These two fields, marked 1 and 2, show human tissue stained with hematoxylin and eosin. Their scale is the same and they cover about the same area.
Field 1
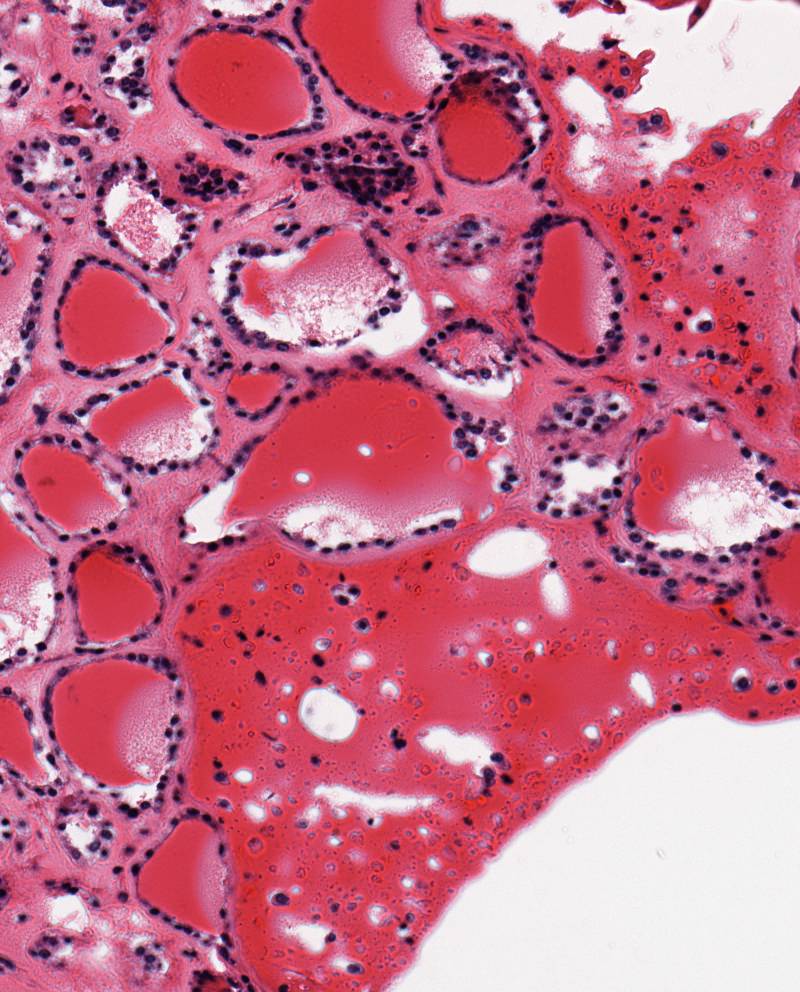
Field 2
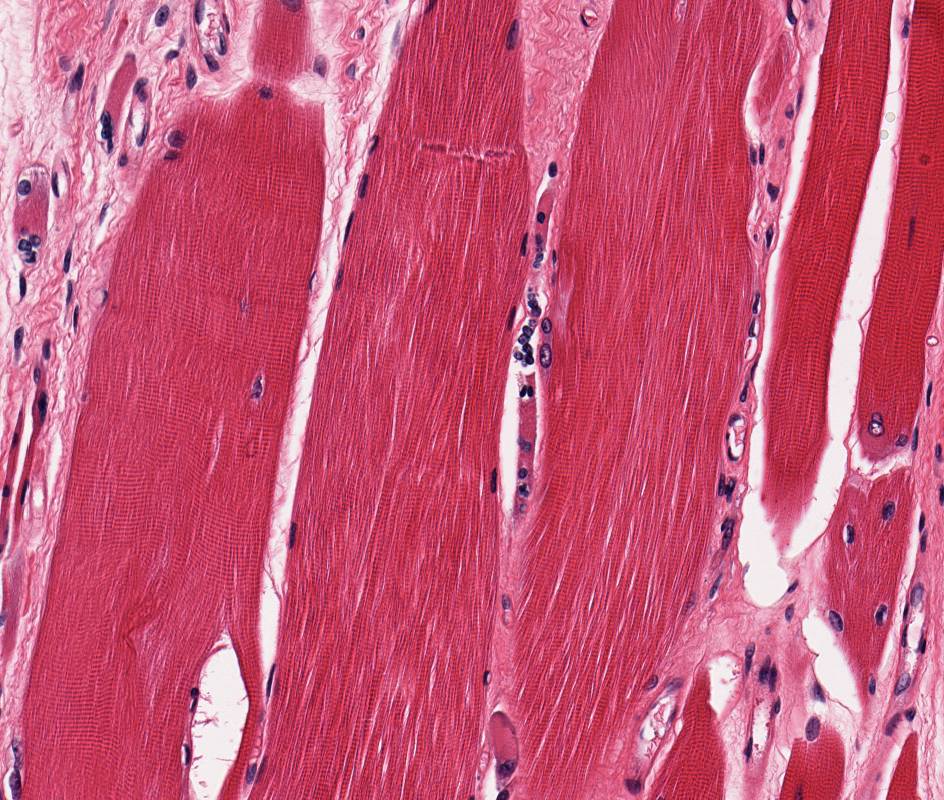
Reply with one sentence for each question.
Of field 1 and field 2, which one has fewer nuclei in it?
It is field 2 that has fewer nuclei in it.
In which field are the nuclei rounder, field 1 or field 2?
It is field 1 whose nuclei are the rounder.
